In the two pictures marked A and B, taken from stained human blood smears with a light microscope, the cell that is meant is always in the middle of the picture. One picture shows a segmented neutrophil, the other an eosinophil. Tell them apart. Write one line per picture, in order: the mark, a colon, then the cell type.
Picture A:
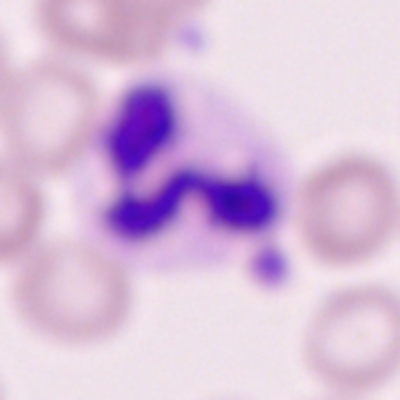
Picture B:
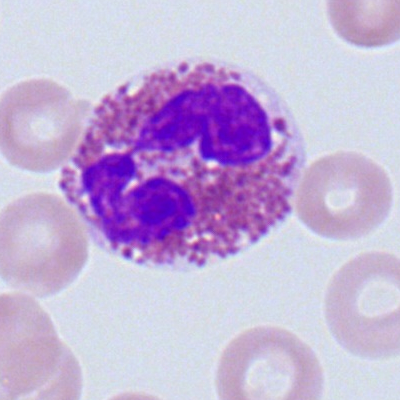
A: segmented neutrophil
B: eosinophil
